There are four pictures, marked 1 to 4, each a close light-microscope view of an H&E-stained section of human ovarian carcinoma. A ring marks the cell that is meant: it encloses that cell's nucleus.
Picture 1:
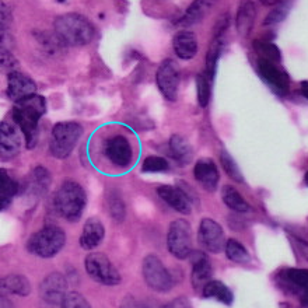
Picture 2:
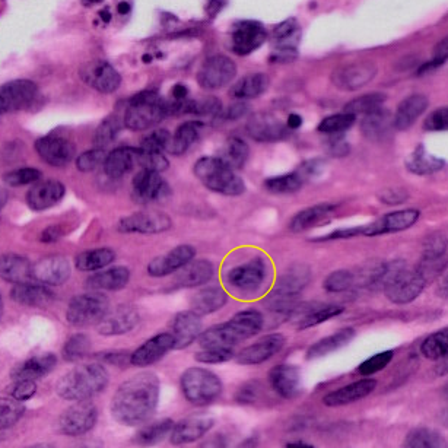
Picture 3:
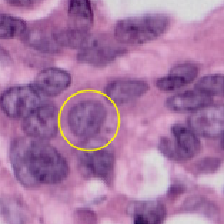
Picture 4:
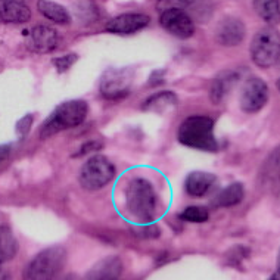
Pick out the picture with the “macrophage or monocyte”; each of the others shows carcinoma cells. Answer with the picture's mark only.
2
